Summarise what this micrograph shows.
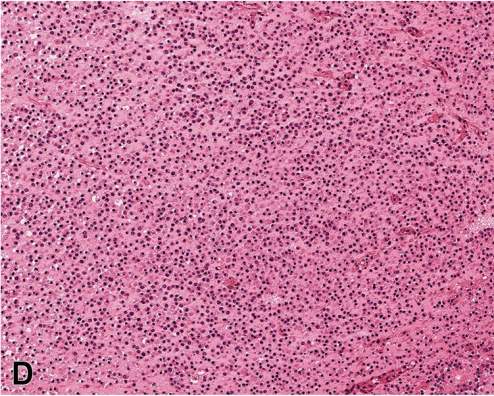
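This is a brain tumor made of a dense, monotonous sheet of polygonal to round neoplastic cells. Each cell has a small, round, darkly staining hyperchromatic nucleus set in pale pink to clear cytoplasm. The cells lie closely packed side by side with little intervening stroma, and only a few thin vessels cross the field.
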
